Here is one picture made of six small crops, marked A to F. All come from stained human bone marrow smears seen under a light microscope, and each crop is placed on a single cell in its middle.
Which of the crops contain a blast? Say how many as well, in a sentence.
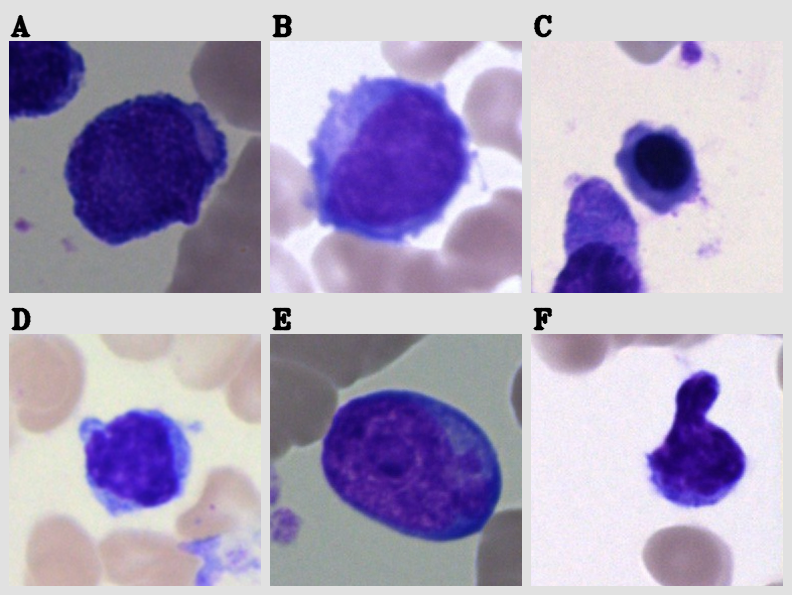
It is in crops A, B, E and F that blasts are shown, four crops in all.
